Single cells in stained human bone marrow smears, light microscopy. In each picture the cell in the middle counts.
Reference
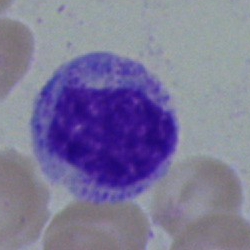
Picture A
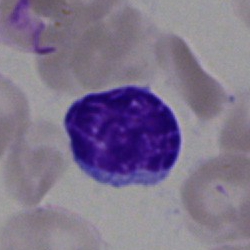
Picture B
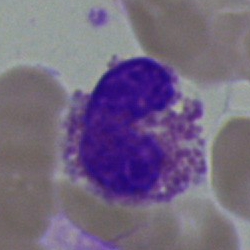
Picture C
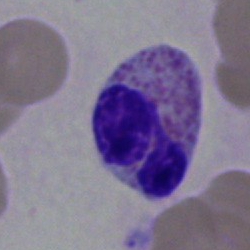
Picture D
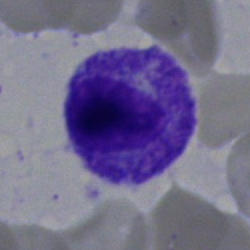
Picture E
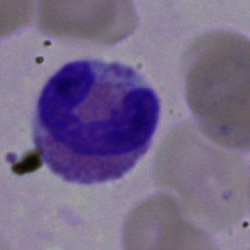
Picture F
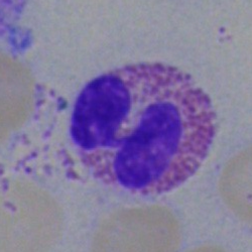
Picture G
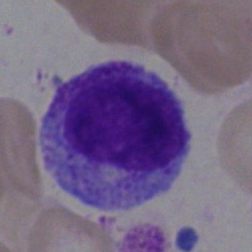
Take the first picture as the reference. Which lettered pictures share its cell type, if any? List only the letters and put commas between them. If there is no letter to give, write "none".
D, G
